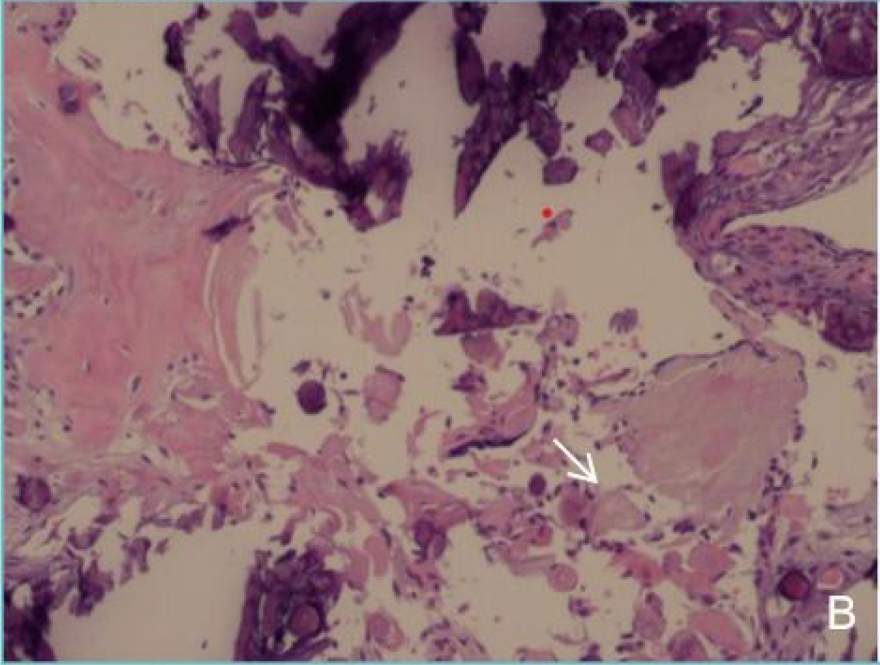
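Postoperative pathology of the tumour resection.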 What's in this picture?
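Shadow cells lie scattered in clusters among dark purple, irregular fragments of calcified material. They are pale pink, round or oval bodies with distinct outlines but without stained nuclei or cytoplasmic detail, like empty shells. Large pale pink homogeneous masses occupy the left side, and a strip of fibrous tissue with small dark elongated nuclei runs along the right edge.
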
